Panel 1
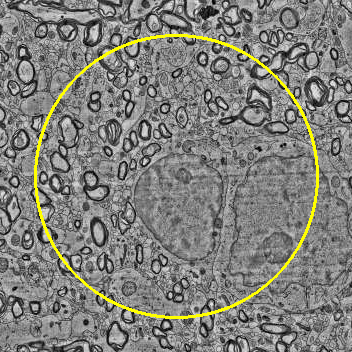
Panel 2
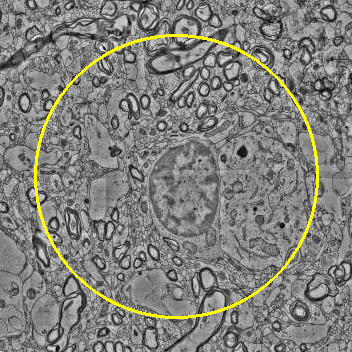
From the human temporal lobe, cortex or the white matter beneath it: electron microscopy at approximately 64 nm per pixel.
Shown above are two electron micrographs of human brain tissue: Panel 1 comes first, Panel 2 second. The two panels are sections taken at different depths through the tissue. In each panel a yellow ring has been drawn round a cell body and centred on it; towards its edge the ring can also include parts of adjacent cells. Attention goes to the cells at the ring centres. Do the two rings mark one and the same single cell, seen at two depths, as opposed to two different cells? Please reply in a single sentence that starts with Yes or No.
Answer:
No, the two yellow rings each circle a different cell.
